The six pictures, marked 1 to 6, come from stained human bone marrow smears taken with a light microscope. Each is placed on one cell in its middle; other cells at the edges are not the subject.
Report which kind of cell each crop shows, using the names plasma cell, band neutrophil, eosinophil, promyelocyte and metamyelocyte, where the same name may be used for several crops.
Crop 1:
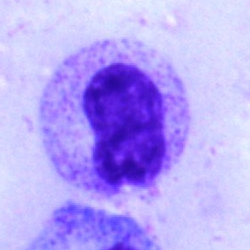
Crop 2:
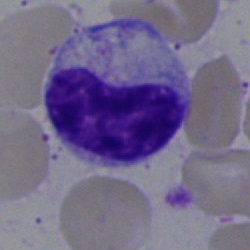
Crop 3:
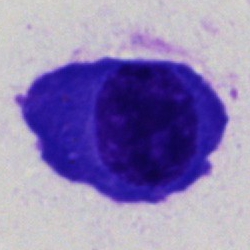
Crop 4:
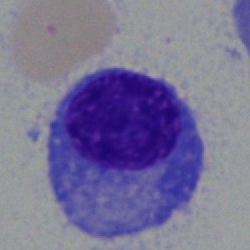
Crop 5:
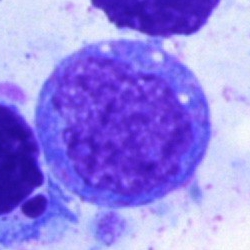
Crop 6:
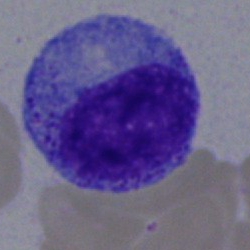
1: metamyelocyte
2: metamyelocyte
3: plasma cell
4: plasma cell
5: promyelocyte
6: promyelocyte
